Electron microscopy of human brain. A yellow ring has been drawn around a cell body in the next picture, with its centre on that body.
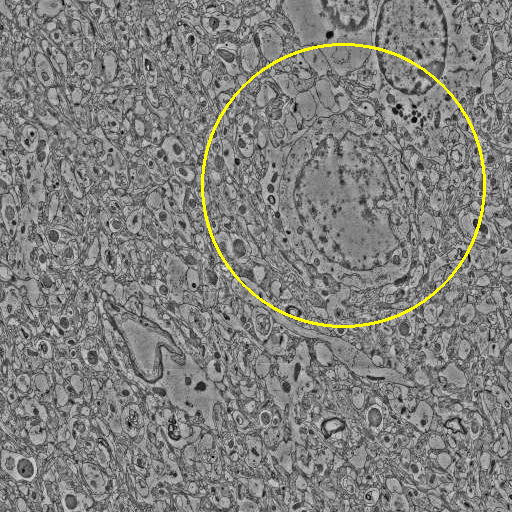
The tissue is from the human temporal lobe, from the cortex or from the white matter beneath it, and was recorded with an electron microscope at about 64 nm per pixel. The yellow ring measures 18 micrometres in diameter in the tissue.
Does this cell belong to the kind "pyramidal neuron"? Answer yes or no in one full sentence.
No, the ringed cell in this picture, sitting at the ring's centre, is of another kind.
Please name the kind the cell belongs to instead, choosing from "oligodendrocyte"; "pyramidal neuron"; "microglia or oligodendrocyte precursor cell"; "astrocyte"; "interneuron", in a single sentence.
Instead, the cell inside the ring is an interneuron.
